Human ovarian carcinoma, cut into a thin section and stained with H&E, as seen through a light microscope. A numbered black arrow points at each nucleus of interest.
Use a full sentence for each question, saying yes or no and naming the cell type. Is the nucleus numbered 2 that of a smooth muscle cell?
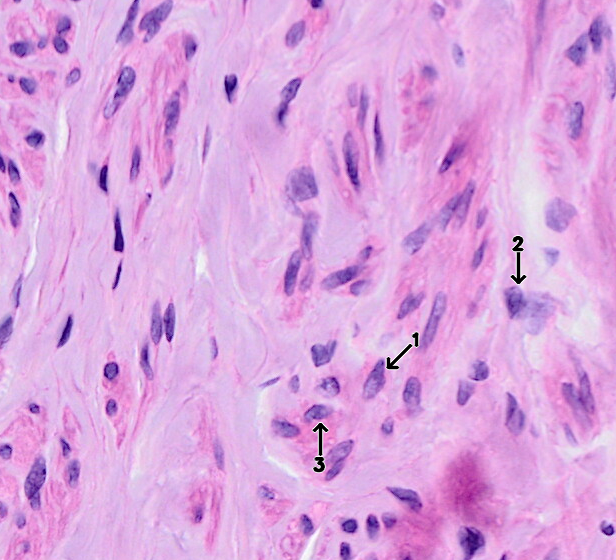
No, rather than a smooth muscle cell, cell number 2 is a fibroblast.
